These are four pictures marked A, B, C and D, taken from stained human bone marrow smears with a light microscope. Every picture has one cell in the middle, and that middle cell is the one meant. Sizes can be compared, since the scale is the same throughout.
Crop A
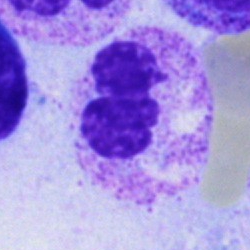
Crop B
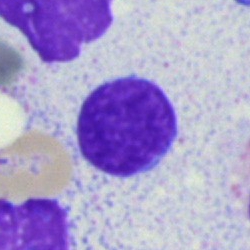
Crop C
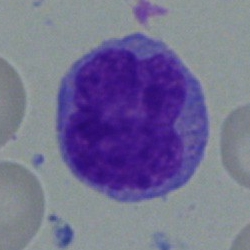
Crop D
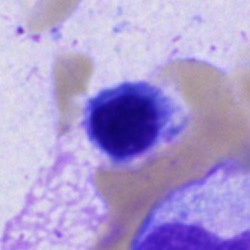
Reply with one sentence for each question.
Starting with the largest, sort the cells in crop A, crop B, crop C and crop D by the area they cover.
The order is C, A, B, D, beginning with the largest.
